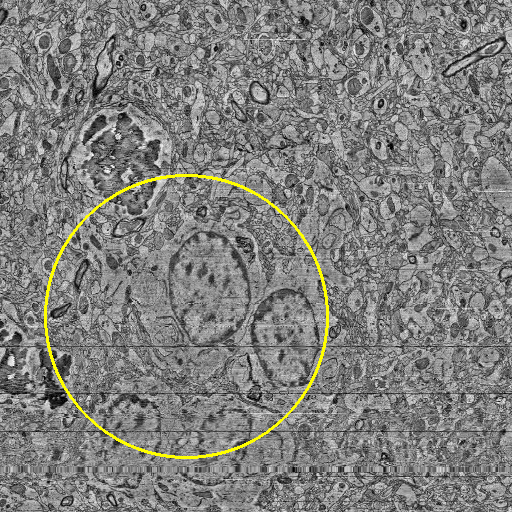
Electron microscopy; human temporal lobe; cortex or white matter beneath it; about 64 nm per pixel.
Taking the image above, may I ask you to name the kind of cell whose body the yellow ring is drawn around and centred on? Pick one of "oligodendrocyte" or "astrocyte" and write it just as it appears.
astrocyte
